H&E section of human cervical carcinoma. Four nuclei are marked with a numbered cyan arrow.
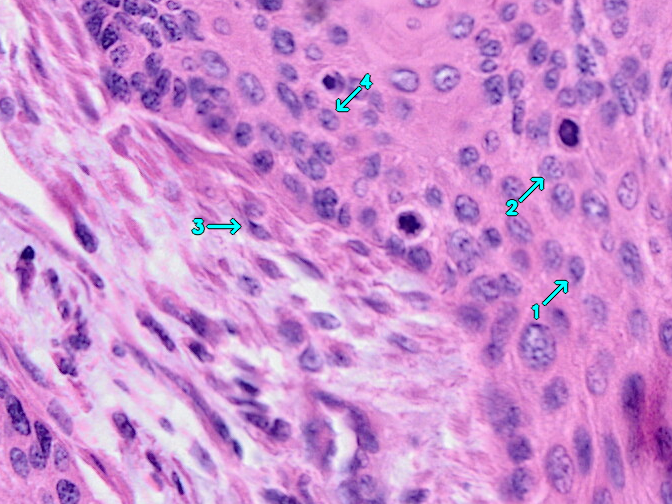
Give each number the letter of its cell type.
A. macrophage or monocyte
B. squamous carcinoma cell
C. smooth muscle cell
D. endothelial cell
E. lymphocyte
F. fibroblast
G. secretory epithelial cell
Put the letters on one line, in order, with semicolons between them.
B; B; F; B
